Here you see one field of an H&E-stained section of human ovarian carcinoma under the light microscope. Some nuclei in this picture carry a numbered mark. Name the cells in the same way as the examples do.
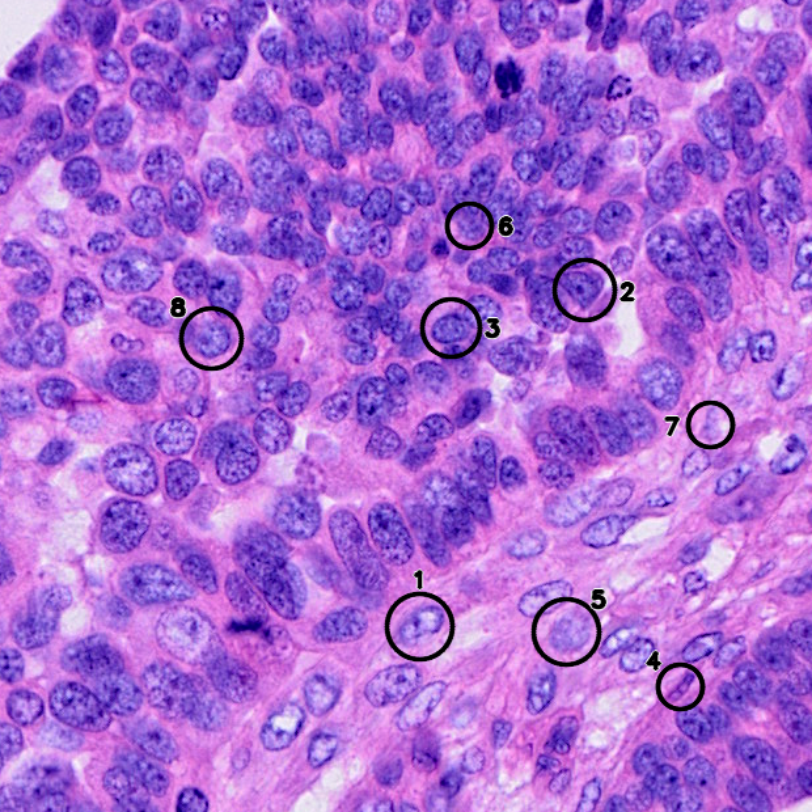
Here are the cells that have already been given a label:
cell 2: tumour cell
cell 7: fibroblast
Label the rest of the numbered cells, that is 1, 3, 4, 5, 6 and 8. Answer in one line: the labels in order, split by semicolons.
fibroblast; tumour cell; fibroblast; fibroblast; tumour cell; tumour cell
